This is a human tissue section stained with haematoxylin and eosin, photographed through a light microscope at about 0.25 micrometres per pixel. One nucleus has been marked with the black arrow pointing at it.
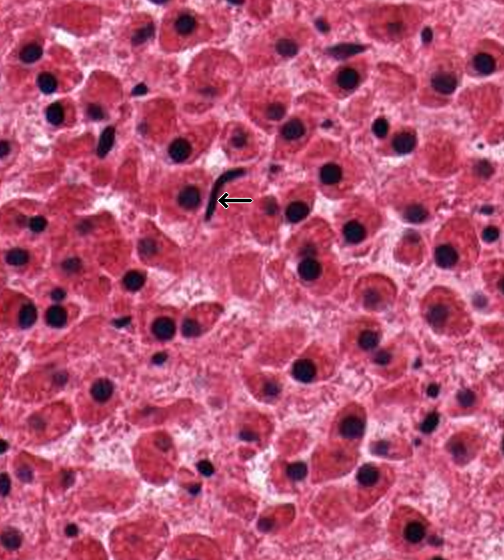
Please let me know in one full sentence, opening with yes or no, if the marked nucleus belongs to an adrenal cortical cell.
No, the marked nucleus does not form part of an adrenal cortical cell, being part of a supporting cell.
